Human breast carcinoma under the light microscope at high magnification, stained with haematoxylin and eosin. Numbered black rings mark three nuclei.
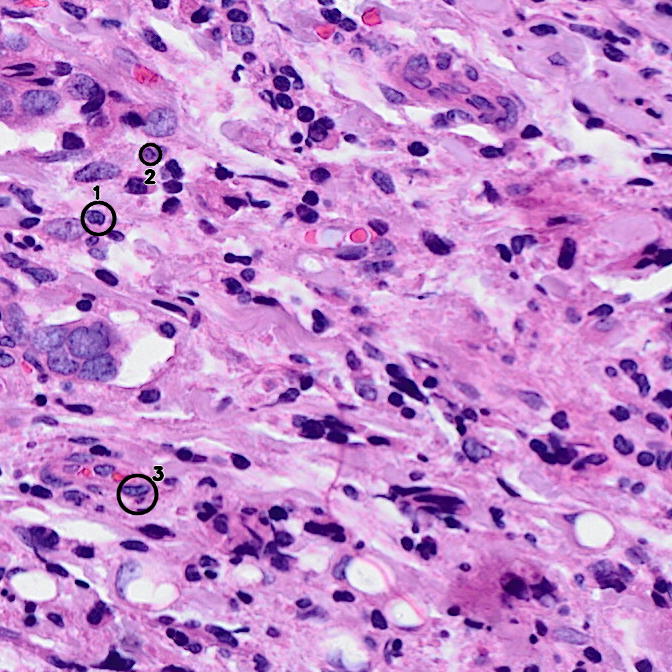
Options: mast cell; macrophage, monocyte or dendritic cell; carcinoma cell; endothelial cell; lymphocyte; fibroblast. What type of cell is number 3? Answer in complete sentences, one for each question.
The cell with the number 3 is an endothelial cell.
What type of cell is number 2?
The numbered cell 2 is identified here as a macrophage, monocyte or dendritic cell.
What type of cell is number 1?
The cell marked with the number 1 is a lymphocyte.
